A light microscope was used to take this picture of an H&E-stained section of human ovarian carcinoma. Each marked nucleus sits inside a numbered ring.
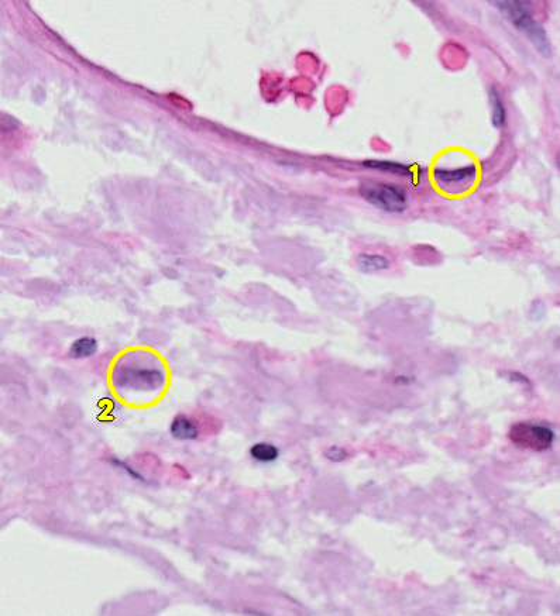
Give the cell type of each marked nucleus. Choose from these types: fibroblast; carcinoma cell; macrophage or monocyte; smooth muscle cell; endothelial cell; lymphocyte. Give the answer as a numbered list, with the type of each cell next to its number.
1. endothelial cell
2. fibroblast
